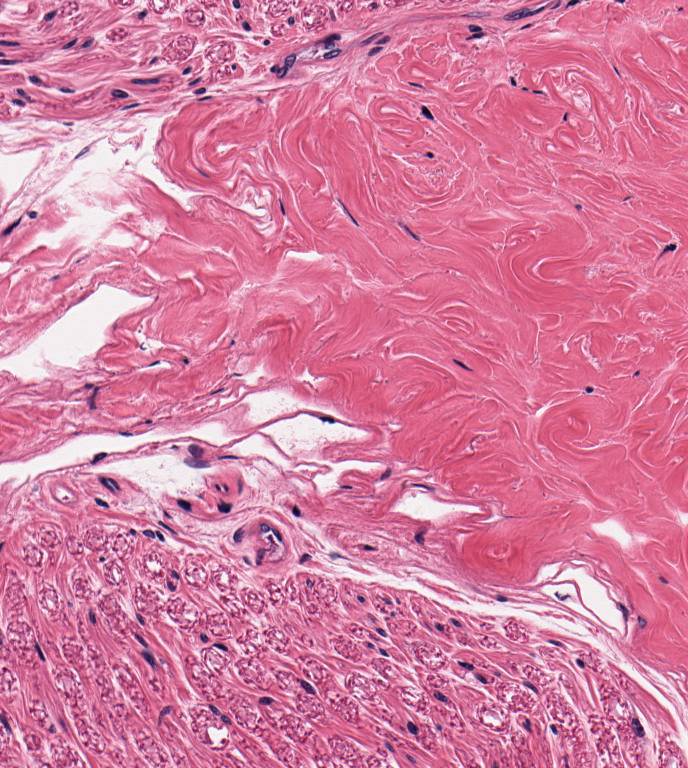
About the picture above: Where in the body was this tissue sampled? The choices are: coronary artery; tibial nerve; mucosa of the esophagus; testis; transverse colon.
tibial nerve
